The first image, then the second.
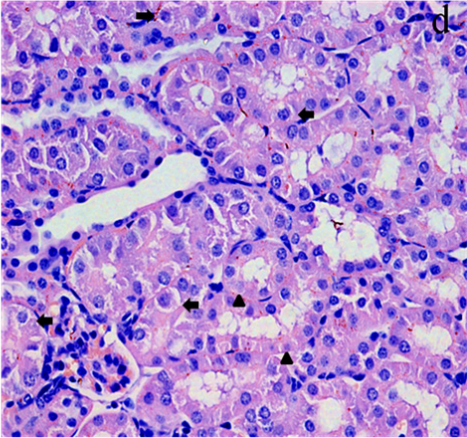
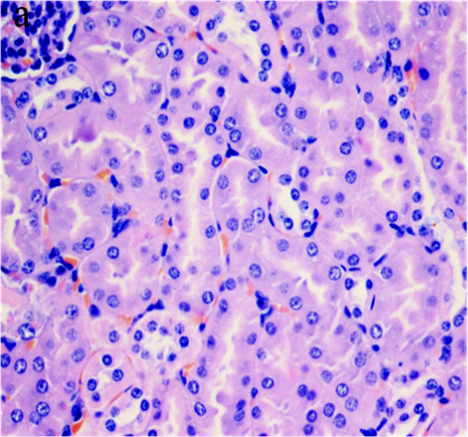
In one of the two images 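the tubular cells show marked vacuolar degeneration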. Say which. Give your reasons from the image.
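First image: many tubules hold clear, lacy vacuolated spaces within pale granular epithelium. Second image: tubular cells have even pink cytoplasm and round nuclei without vacuoles.
Conclusion: the first image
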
